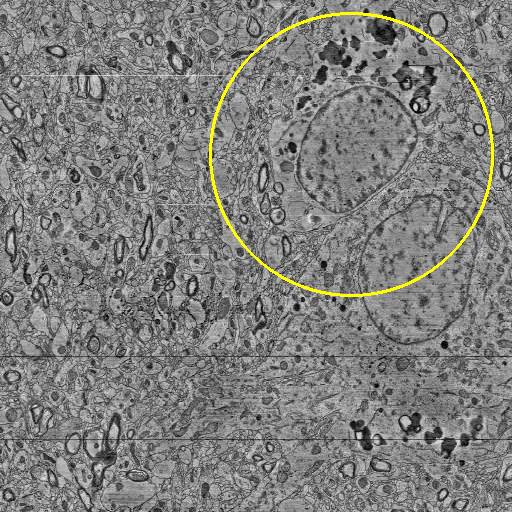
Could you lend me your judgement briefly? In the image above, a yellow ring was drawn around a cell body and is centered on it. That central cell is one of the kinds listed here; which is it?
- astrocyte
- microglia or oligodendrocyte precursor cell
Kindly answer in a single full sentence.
Going by the list, an astrocyte is the kind at the ring's center in the picture.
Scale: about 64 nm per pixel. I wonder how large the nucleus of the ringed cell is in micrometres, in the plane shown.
Roughly 9 by 7 micrometres in this plane, for the nucleus of the ringed cell.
